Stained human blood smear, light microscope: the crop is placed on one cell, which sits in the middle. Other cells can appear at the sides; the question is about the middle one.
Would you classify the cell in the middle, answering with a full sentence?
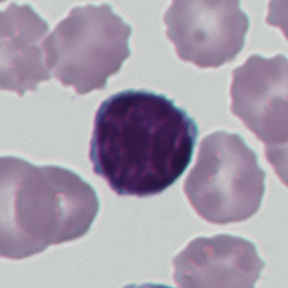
As for the cell in the middle, it is a typical lymphocyte.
